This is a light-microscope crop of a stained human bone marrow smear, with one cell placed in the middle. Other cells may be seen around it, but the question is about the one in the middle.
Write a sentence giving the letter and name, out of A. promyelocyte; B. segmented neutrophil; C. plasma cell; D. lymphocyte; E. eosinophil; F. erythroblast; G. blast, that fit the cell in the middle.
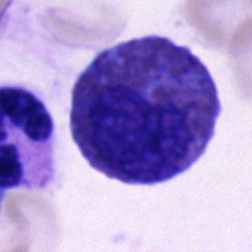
Option E is the keyed answer: the cell in the middle is an eosinophil.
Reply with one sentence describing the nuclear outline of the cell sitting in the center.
Key feature: a single compact nucleus, round, oval or kidney-shaped.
